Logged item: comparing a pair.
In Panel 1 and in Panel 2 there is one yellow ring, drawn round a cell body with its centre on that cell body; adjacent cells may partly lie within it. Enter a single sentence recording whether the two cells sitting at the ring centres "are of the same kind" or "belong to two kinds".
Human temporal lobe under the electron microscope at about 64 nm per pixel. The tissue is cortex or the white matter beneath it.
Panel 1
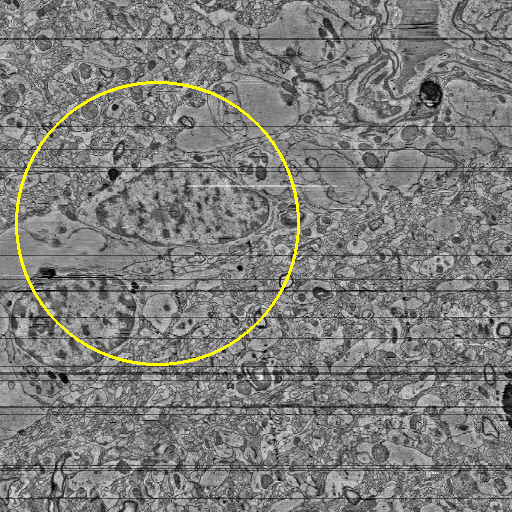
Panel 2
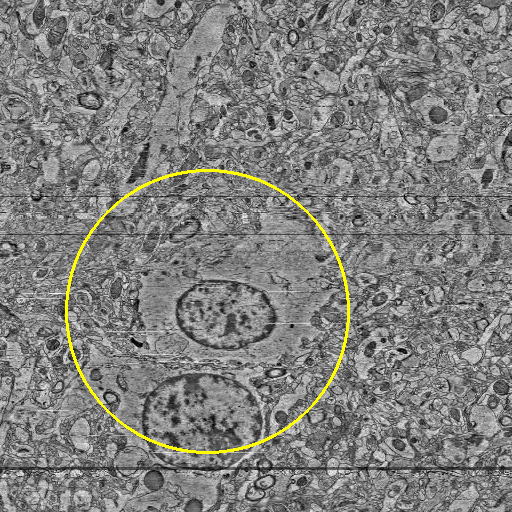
Logged: the cells centred in the rings of Panel 1 and Panel 2 belong to two kinds.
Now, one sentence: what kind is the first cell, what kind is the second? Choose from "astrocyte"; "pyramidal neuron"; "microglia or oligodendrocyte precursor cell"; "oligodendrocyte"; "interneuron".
The first picture has a microglial cell or oligodendrocyte precursor cell at its ring centre, and the second has an astrocyte.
